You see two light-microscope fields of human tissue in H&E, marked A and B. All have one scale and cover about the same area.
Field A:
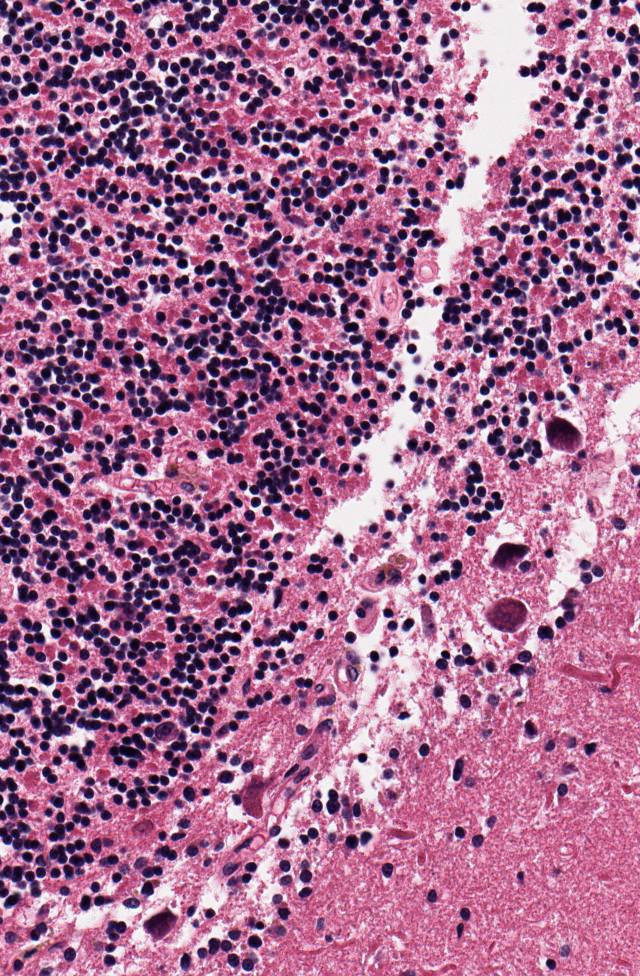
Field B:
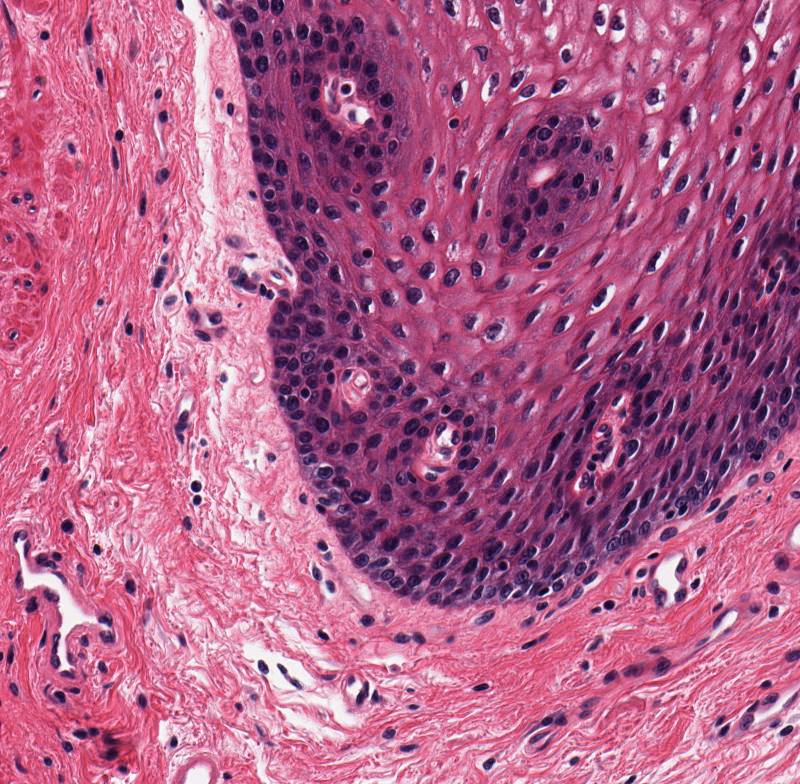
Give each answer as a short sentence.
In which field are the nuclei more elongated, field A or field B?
Longer, more slender nuclei lie in field B.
